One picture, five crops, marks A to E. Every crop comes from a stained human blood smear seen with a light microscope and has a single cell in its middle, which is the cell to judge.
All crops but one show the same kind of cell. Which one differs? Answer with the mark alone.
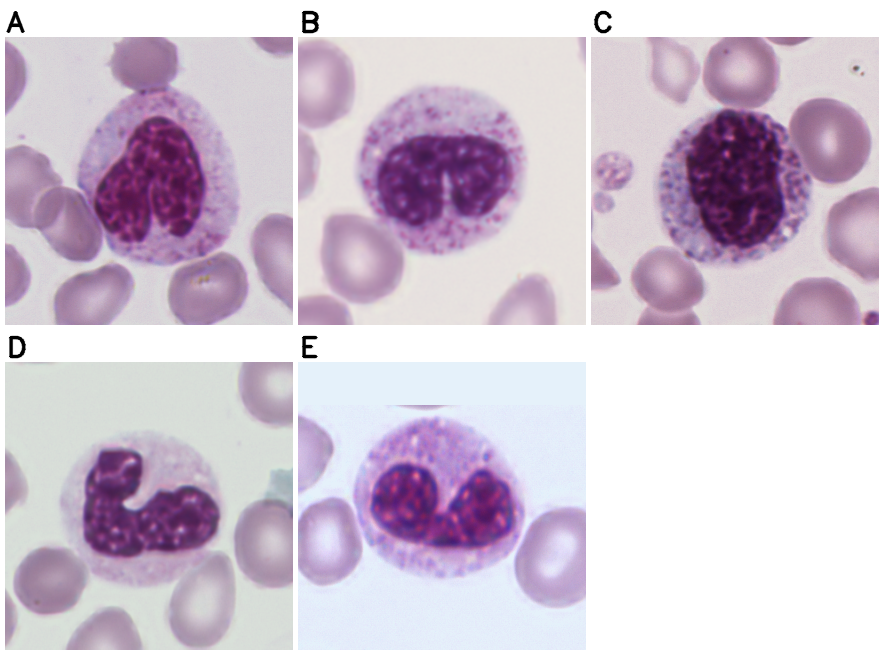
C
